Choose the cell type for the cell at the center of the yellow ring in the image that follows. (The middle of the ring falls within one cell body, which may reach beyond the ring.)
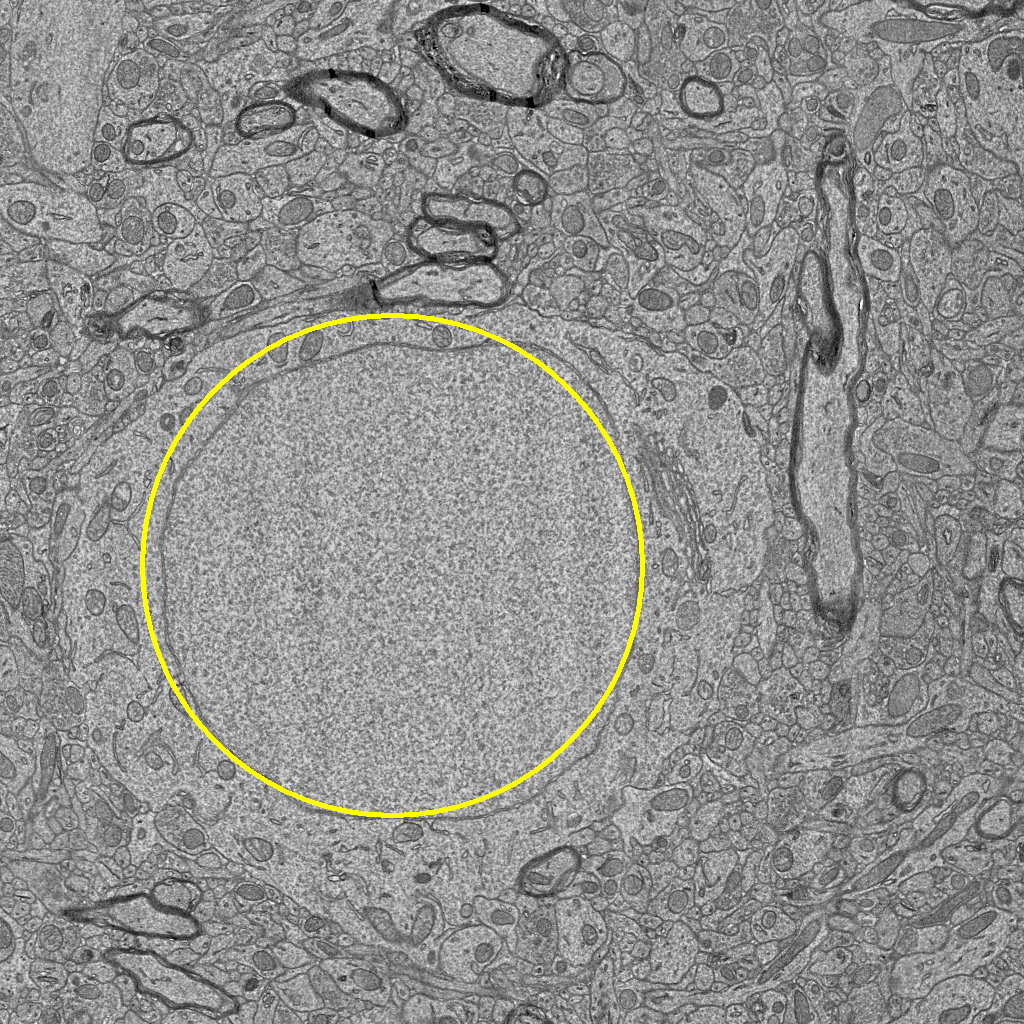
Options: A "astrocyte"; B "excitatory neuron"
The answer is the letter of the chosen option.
B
